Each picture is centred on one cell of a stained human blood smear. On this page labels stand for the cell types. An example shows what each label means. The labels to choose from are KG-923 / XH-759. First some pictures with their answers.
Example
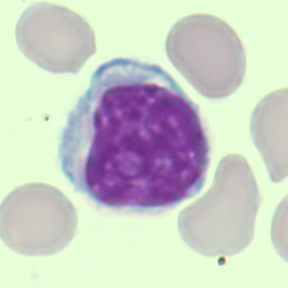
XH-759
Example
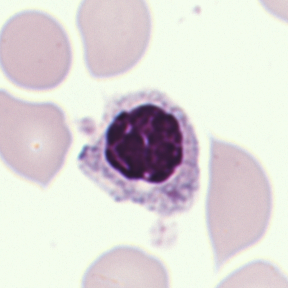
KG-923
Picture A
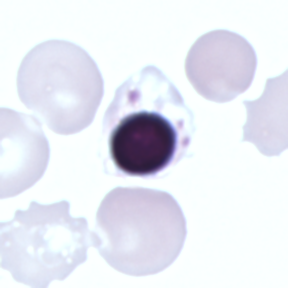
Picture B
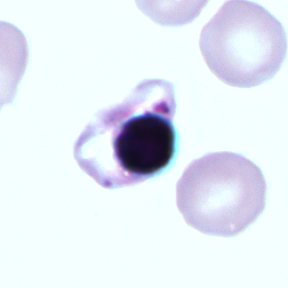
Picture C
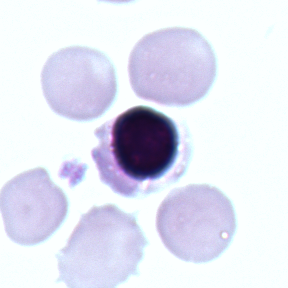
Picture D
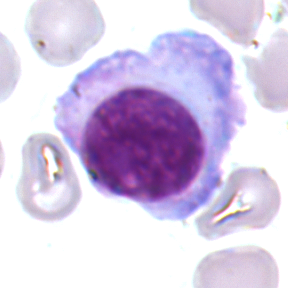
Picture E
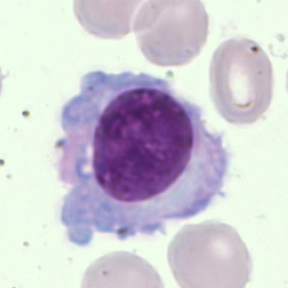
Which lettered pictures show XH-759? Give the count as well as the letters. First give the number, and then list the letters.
Count: 2 (D, E)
